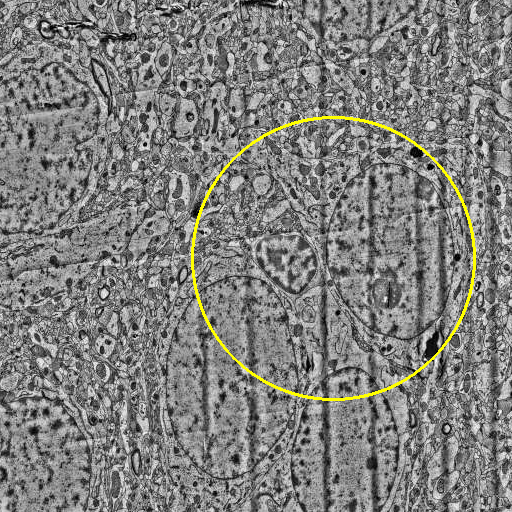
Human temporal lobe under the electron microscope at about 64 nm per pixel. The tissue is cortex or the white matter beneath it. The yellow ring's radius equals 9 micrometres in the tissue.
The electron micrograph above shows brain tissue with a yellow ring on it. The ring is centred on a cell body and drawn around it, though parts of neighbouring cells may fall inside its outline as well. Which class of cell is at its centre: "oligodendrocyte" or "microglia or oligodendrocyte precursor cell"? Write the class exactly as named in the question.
microglia or oligodendrocyte precursor cell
